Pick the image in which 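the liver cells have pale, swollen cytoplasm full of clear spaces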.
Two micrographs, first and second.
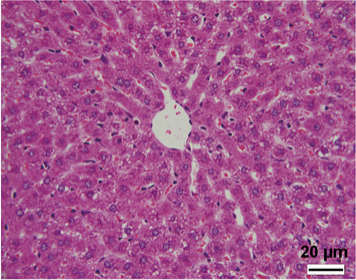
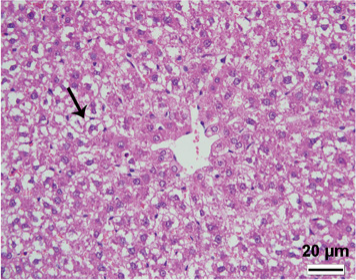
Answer: The second image.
